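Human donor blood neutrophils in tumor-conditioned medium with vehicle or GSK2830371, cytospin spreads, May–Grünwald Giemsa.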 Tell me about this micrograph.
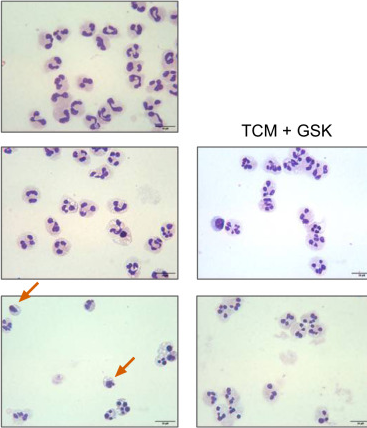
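Most cells lie singly as round cells of similar size, though in some images they sit closer together. A few cells, marked by arrows, are smaller with a single condensed, dark round nucleus, the look of cells undergoing apoptosis.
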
